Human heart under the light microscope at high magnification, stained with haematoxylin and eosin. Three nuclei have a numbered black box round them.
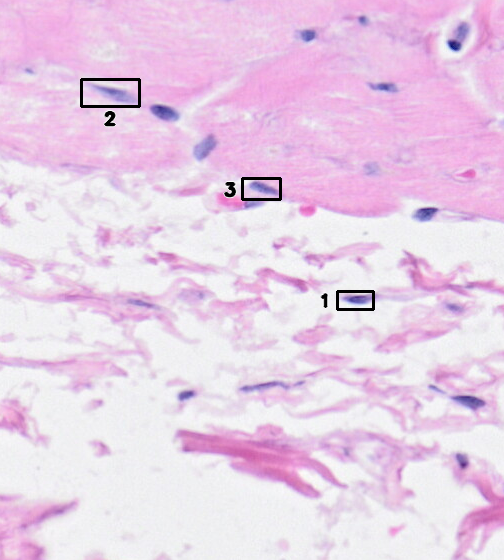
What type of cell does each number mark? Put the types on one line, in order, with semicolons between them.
fibroblast; endothelial cell; fibroblast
